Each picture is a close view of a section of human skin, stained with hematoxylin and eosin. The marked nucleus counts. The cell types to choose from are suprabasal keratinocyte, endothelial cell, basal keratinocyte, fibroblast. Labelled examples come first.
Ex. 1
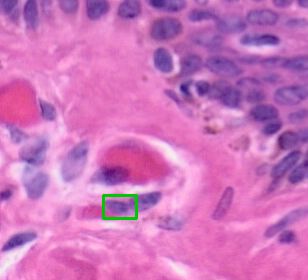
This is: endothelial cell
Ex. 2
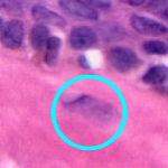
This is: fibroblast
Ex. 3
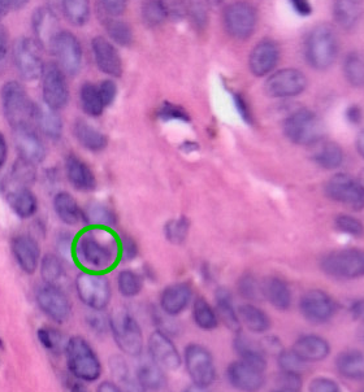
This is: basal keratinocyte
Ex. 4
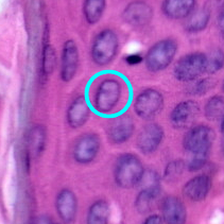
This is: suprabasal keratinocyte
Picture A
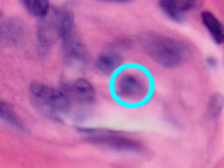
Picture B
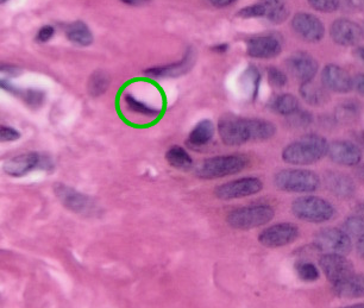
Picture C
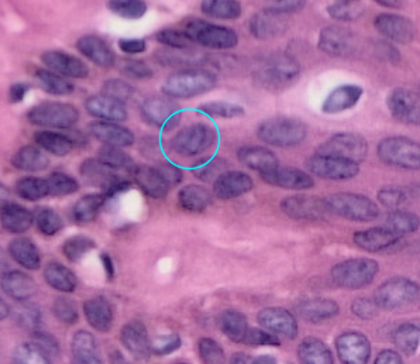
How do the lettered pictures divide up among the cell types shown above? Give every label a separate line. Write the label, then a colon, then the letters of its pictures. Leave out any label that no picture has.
endothelial cell: A
basal keratinocyte: C
fibroblast: B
